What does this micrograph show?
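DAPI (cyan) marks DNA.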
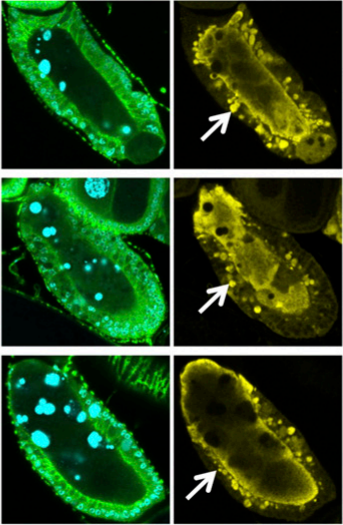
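These are dying egg chambers in which the nurse cell nuclei have broken up into scattered bright cyan clumps in the middle of the chamber. Around them the follicle cell layer is thicker, with many small nuclei lining the rim. In the yellow channel the germline material is brightly lit, and small round yellow dots sit among the follicle cells at the edge.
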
